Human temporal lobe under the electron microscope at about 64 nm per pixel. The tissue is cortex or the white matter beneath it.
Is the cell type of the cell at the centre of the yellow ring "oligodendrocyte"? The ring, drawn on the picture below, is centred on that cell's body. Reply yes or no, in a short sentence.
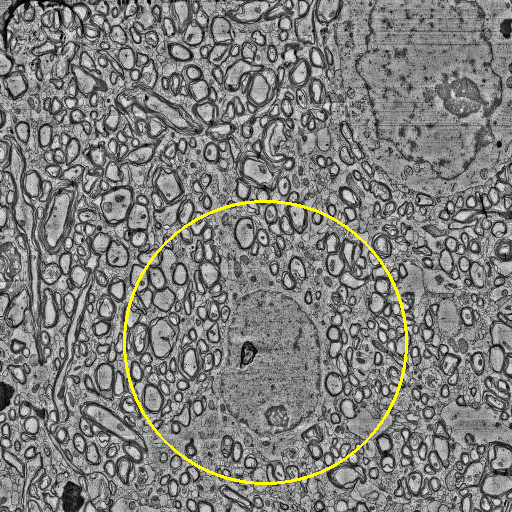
No, its cell type is another.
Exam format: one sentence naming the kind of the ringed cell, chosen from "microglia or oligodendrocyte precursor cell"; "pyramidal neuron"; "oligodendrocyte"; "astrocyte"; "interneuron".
As it turns out, the cell at the ring centre is an astrocyte.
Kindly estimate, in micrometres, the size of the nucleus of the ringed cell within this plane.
The nucleus has a long axis of about 9 micrometres and a short axis of about 7 micrometres in this plane.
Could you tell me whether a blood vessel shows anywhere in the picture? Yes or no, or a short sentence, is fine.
No, no vessel appears in the picture.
